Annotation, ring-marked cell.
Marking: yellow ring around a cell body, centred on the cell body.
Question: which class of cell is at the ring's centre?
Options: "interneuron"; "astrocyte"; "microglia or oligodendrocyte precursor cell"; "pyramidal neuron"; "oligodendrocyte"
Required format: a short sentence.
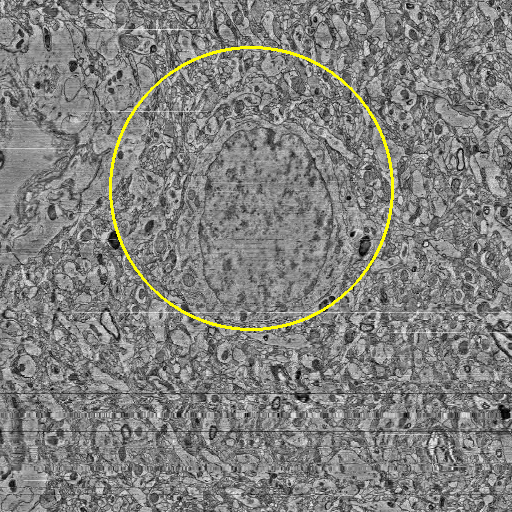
At the ring's centre is an interneuron.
